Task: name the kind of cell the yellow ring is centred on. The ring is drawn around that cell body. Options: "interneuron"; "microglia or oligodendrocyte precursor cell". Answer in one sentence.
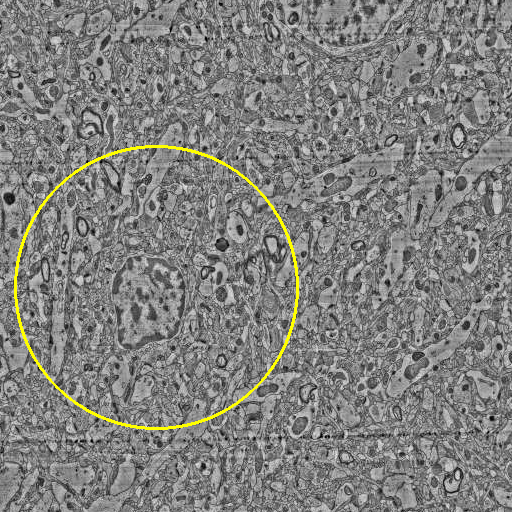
This cell body belongs to a microglial cell or oligodendrocyte precursor cell.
